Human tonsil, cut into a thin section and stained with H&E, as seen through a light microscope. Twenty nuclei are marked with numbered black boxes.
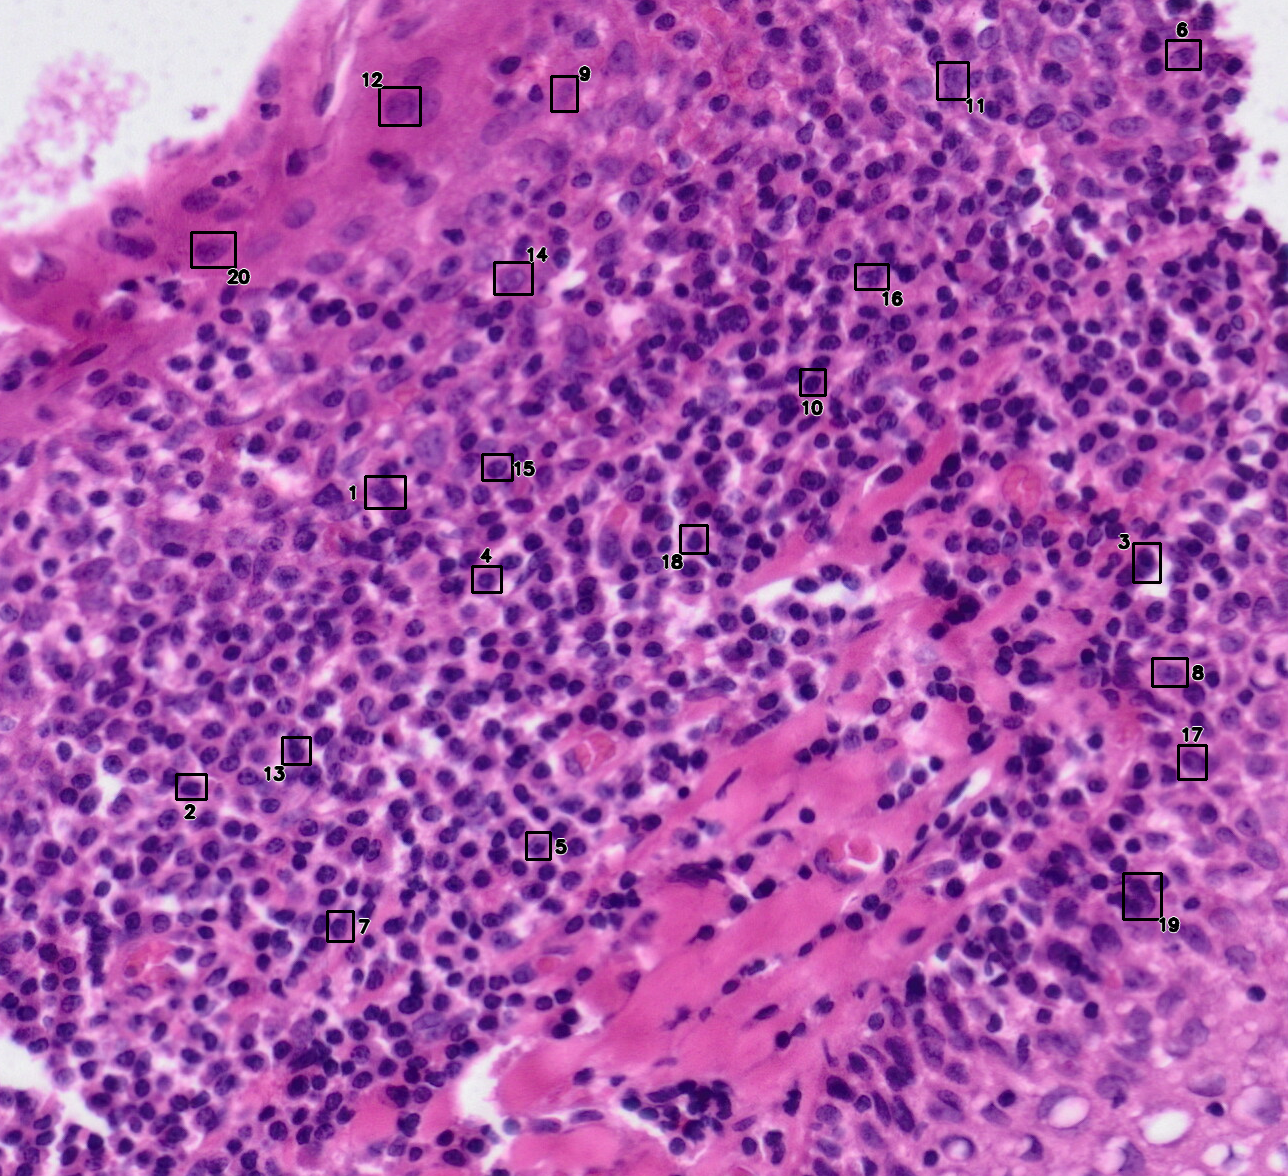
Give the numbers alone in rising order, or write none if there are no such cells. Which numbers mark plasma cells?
2, 4, 5, 7, 10, 13, 15, 16, 18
